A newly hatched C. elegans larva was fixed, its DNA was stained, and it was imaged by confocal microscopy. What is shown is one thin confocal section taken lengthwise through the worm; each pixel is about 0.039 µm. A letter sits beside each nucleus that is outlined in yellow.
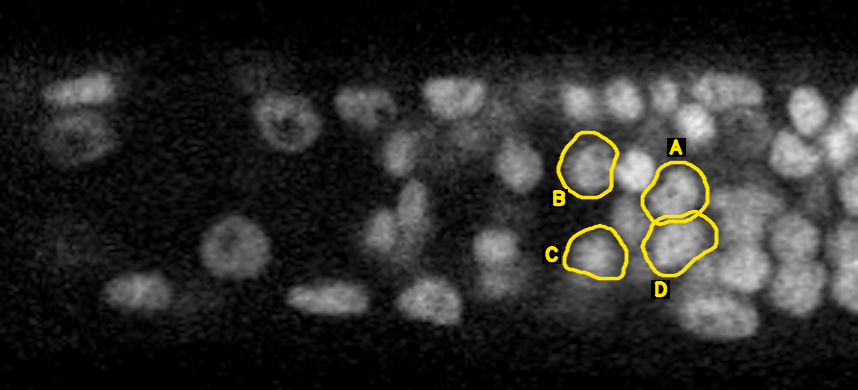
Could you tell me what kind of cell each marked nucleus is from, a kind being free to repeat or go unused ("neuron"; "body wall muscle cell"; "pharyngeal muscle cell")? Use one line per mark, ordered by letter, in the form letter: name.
A: pharyngeal muscle cell
B: pharyngeal muscle cell
C: neuron
D: pharyngeal muscle cell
